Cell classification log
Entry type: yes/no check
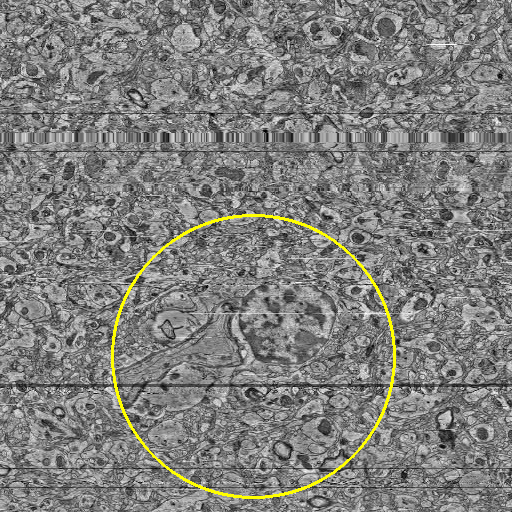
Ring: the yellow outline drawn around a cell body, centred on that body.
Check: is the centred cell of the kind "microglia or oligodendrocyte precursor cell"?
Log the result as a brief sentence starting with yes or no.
Yes, the cell is of that kind.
